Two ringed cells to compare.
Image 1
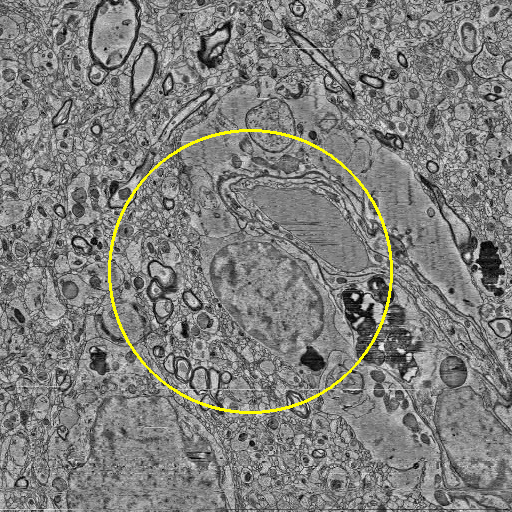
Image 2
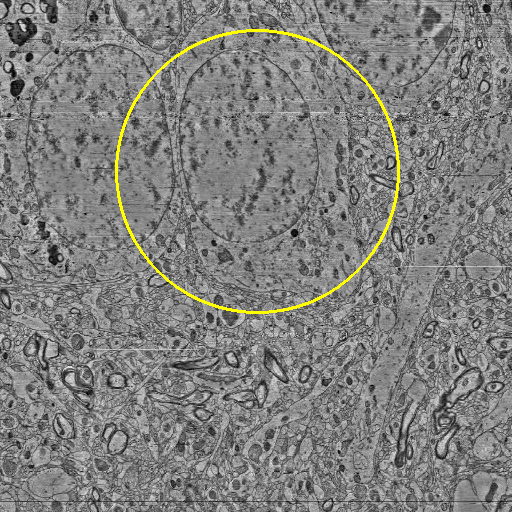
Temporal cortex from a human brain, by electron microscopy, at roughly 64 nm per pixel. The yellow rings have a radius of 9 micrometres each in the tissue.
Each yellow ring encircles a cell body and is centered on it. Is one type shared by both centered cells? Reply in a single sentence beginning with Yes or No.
No, two types are found among the cells at the centers of the rings.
